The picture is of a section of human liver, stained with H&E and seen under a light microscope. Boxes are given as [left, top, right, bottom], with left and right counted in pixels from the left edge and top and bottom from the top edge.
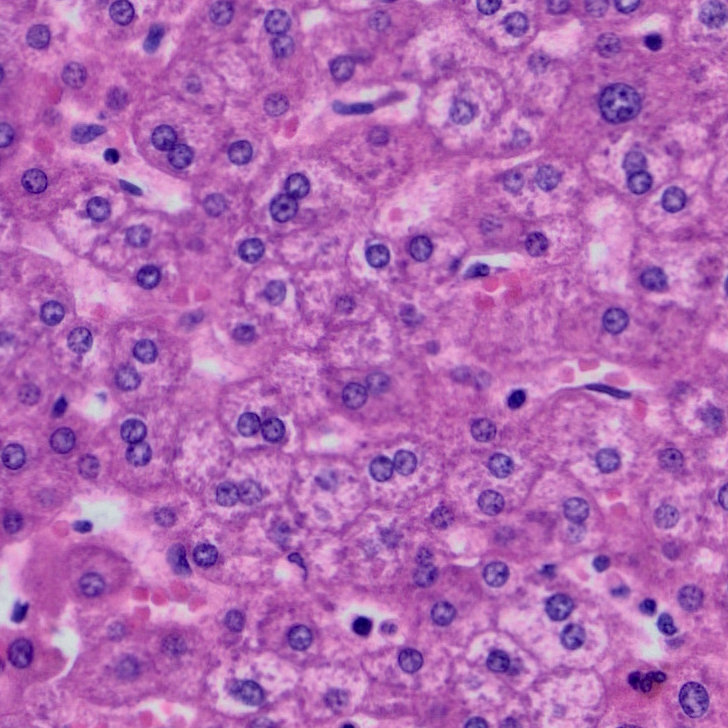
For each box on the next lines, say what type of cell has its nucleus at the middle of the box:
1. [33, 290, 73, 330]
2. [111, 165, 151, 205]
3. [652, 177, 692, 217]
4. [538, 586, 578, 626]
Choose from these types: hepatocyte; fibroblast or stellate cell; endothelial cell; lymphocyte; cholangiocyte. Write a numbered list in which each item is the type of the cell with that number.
1. hepatocyte
2. endothelial cell
3. hepatocyte
4. hepatocyte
